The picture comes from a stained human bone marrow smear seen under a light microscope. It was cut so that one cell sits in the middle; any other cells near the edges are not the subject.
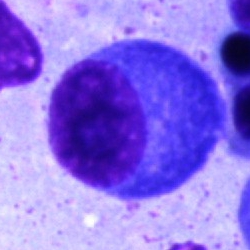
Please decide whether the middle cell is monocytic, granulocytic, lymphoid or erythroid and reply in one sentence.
Among the lineages, the lymphoid one is that of the central cell.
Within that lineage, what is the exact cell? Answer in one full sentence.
As for the central cell, it is a plasma cell.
